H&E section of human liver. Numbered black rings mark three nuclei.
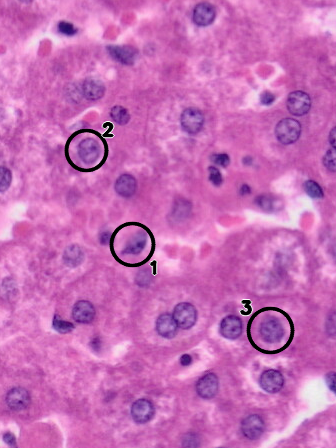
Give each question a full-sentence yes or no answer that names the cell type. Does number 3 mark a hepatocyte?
Yes, on this slide, the cell with number 3 is a hepatocyte.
